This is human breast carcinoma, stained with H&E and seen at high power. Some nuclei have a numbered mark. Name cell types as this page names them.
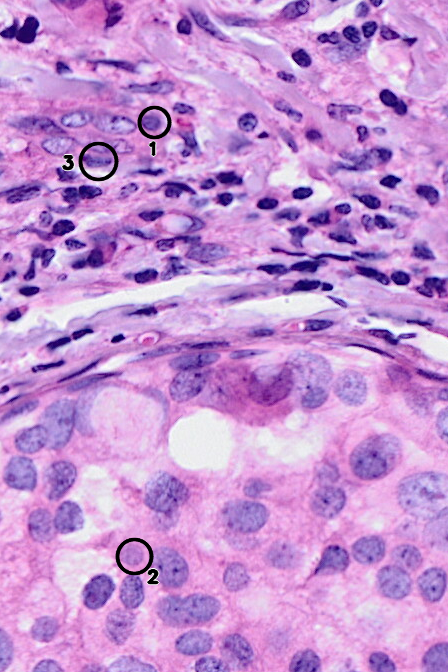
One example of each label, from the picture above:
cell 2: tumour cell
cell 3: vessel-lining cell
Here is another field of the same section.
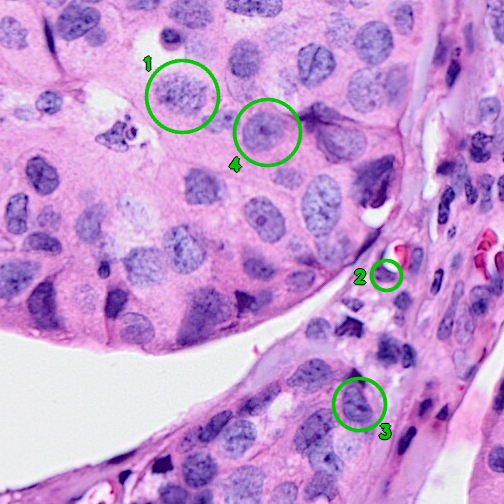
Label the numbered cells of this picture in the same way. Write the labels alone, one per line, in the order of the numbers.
tumour cell
vessel-lining cell
tumour cell
tumour cell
